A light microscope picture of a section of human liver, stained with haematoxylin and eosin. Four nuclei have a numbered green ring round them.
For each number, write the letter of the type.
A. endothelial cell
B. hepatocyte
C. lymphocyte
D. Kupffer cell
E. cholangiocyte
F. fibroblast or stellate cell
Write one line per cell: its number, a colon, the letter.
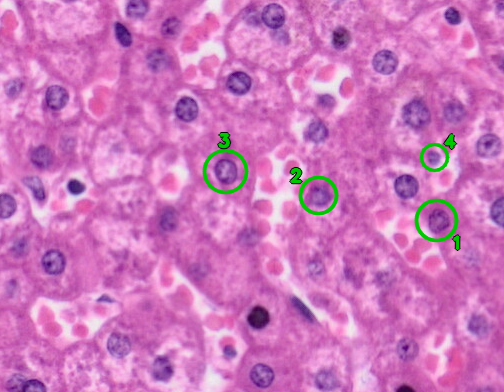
1: B
2: B
3: B
4: C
